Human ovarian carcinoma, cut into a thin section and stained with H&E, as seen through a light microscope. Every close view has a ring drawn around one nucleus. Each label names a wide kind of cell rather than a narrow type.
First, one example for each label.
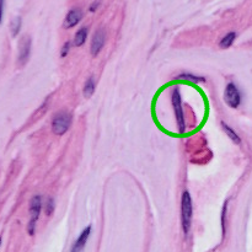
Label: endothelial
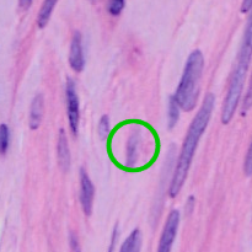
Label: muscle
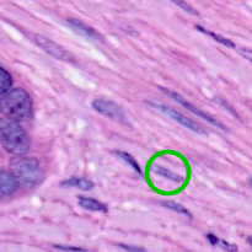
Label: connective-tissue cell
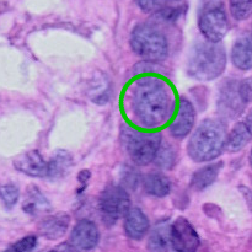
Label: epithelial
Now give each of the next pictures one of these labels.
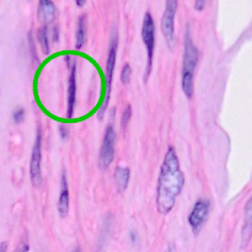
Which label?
muscle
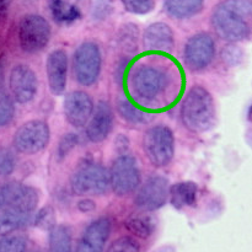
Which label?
epithelial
